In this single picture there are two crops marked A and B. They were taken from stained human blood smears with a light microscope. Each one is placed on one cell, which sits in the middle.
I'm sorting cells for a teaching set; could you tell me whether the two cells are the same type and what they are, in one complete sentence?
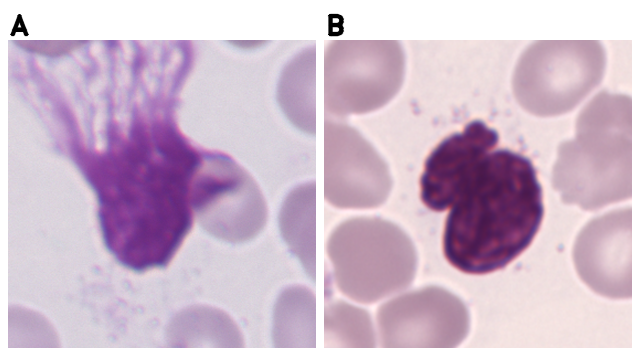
Yes, both crops show smudge cells in the centre of the field.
